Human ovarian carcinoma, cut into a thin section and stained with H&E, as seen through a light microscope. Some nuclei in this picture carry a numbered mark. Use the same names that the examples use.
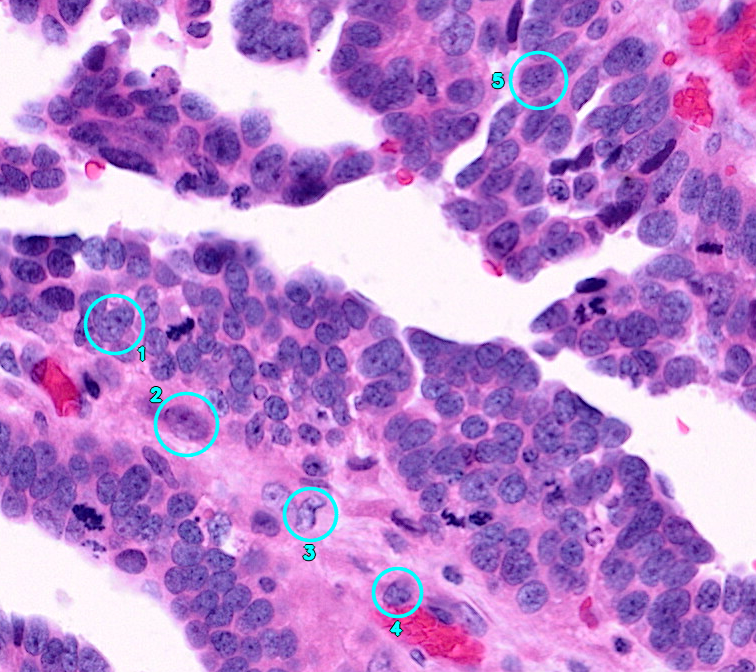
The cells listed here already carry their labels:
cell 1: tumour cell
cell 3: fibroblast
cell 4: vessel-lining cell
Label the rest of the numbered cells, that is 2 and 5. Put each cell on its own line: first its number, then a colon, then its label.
2: fibroblast
5: tumour cell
